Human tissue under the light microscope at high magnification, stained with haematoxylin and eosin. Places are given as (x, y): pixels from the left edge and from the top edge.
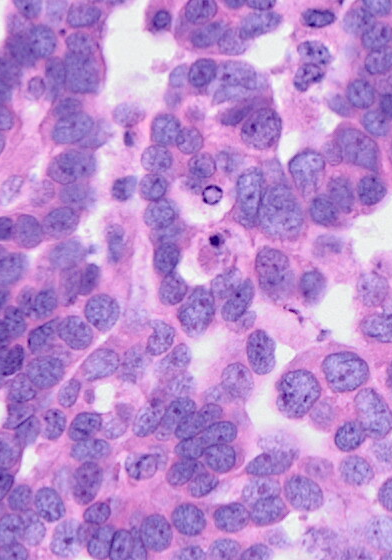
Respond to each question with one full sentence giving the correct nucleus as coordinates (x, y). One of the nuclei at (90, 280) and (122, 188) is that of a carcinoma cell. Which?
The correct choice is the nucleus at (90, 280), which belongs to a carcinoma cell.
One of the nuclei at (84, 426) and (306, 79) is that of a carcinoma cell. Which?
Of the two nuclei, the one sitting at (84, 426) belongs to a carcinoma cell.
